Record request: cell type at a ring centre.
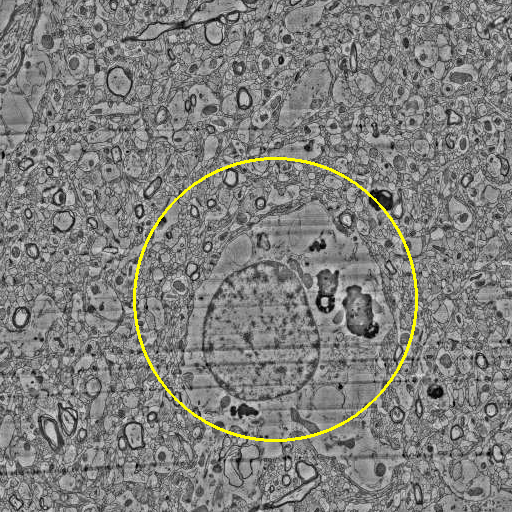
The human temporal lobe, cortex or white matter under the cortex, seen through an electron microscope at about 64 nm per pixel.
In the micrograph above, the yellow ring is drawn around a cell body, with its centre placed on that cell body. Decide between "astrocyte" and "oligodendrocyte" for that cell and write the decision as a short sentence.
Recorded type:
The cell centred in the yellow ring is an astrocyte.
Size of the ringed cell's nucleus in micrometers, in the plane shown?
The nucleus appears roughly 9 by 8 micrometres in this plane.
